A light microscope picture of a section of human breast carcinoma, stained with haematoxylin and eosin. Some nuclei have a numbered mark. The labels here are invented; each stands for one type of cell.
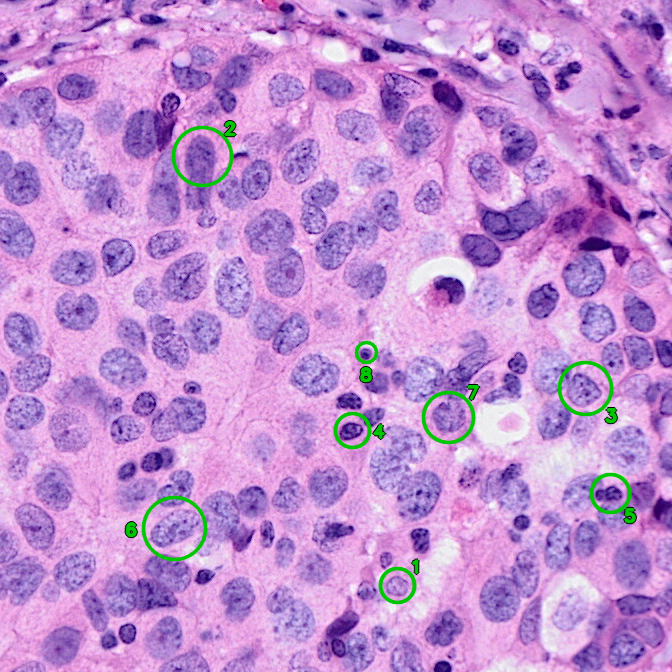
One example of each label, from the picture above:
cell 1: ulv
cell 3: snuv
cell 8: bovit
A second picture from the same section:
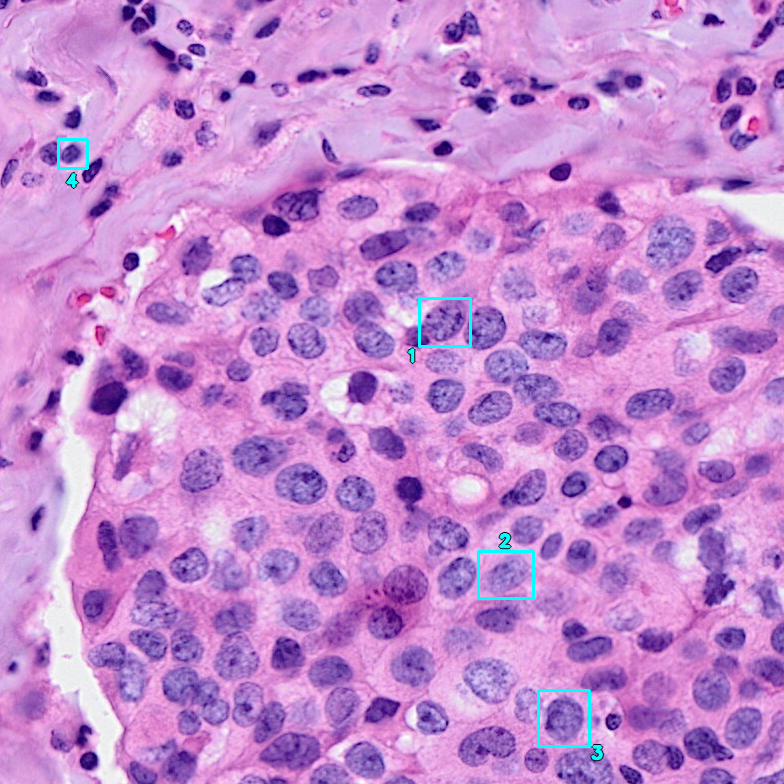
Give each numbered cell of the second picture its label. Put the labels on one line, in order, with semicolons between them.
snuv; snuv; snuv; bovit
